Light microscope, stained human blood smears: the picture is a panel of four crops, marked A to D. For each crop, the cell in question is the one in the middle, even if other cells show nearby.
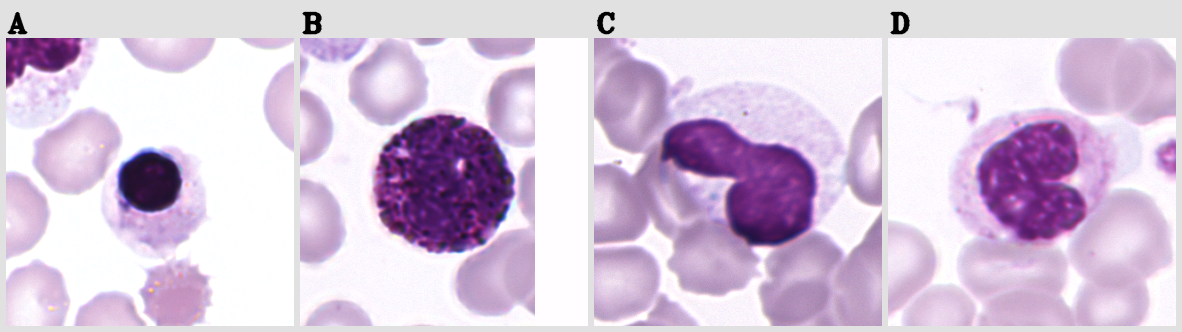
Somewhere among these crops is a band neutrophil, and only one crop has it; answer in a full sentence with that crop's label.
Crop D is the one in this set that shows a band neutrophil.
